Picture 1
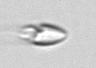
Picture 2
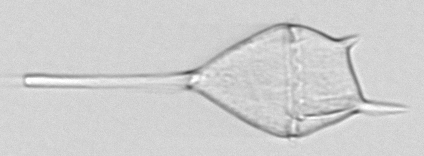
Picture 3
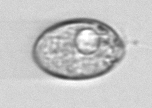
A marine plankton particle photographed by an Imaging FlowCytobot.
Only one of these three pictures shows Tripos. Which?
Picture 2.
